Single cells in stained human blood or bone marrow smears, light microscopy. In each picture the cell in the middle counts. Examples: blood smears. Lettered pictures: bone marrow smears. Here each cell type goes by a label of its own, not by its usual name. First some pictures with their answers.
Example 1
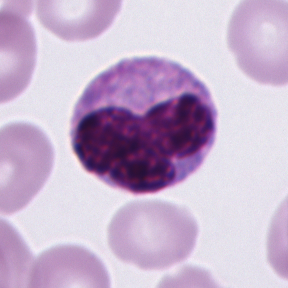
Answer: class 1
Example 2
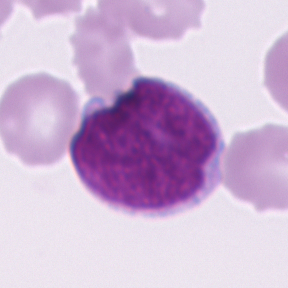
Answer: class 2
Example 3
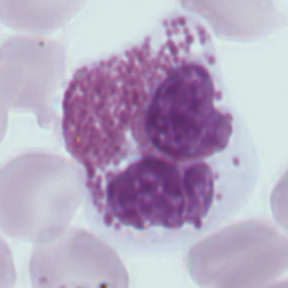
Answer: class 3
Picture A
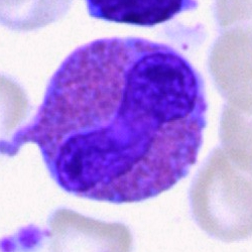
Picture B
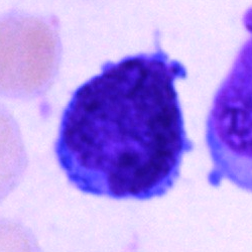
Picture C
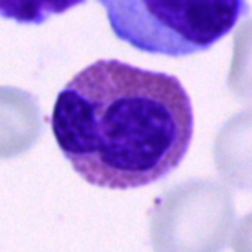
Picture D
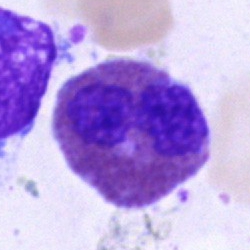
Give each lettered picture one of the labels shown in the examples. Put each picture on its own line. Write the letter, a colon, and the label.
A: class 3
B: class 2
C: class 3
D: class 3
